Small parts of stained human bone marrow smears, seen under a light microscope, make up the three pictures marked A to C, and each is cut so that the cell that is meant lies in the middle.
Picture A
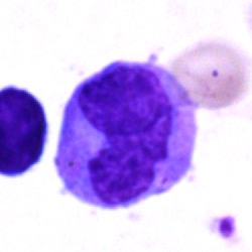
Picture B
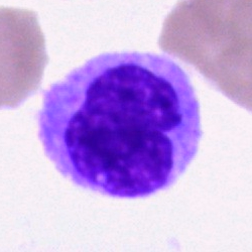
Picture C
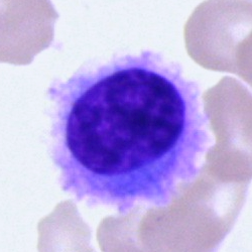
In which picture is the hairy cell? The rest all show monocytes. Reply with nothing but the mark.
C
